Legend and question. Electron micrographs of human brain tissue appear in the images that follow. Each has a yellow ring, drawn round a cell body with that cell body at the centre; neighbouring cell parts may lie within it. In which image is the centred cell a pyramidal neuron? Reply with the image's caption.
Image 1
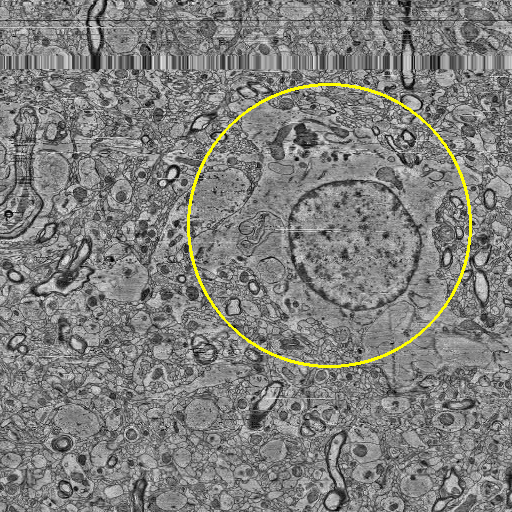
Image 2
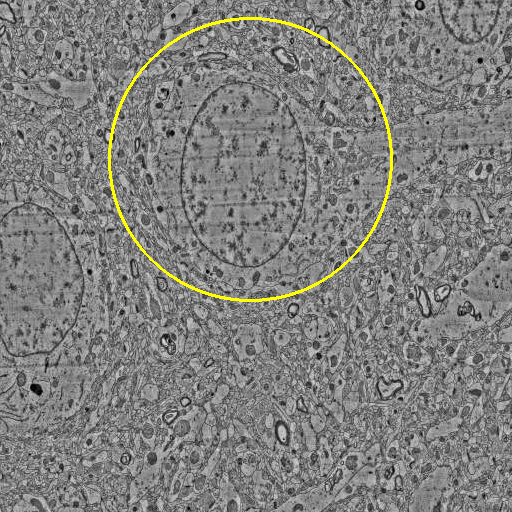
Image 2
